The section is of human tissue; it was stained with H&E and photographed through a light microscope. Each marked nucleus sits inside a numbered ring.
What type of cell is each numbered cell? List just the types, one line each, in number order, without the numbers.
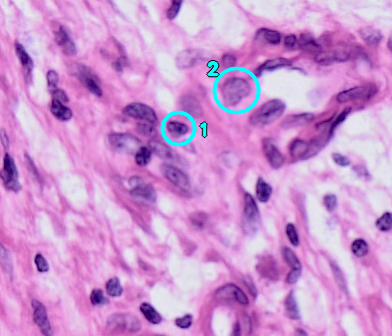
lymphocyte
endothelial cell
